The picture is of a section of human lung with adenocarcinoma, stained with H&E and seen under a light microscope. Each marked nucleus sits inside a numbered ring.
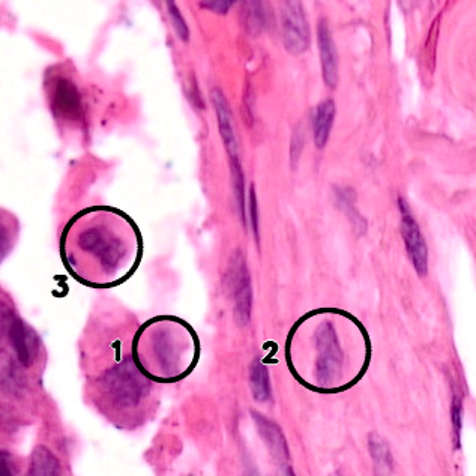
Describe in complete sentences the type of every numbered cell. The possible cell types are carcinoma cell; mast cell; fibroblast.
Cell 1 is a carcinoma cell, cell 2 is a fibroblast and cell 3 is a carcinoma cell.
